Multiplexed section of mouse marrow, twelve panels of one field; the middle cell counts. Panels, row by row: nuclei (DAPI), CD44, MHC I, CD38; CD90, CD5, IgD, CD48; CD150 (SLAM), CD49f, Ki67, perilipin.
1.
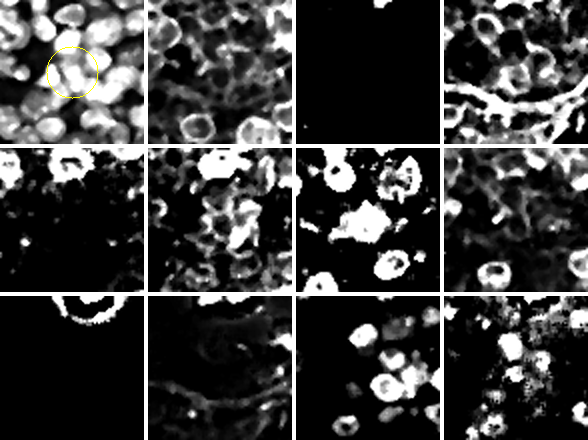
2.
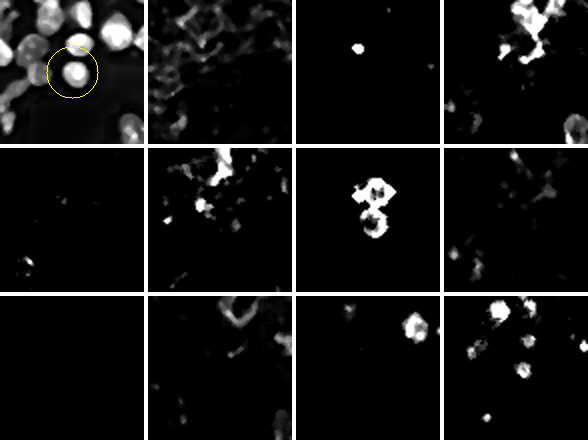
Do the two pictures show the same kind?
Yes, both are B cells.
